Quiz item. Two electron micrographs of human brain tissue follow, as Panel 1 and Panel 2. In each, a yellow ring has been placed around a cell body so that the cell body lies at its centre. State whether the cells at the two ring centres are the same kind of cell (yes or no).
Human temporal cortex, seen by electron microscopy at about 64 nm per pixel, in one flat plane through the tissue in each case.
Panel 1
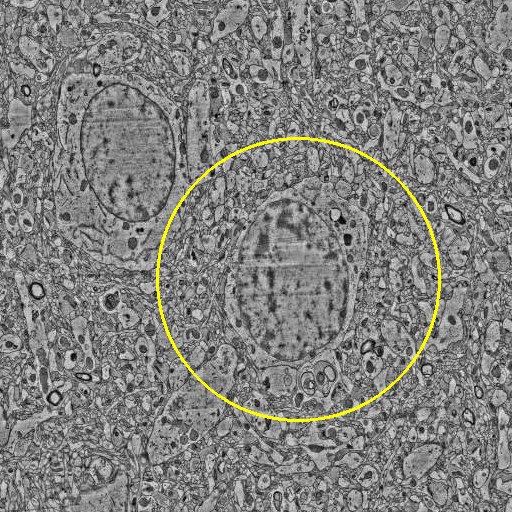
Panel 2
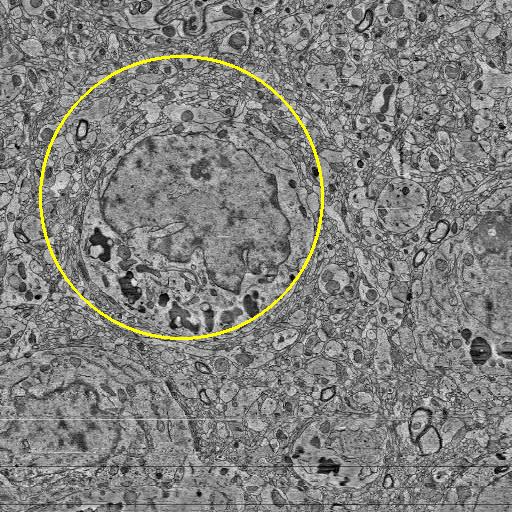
yes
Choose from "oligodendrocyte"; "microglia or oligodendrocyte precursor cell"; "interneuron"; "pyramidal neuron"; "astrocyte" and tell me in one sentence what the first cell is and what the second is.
Each cell at the centre of a ring is an interneuron.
